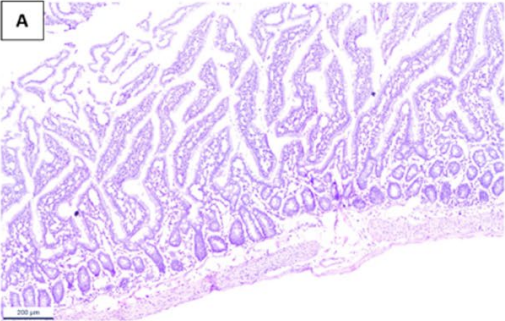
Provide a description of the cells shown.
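This is intestinal wall with long, slender, finger-like villi lined by a continuous single layer of columnar epithelium. Regular rows of round crypts sit at the base above a thin muscular layer. This is the intact mucosal architecture with preserved villi and crypts.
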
